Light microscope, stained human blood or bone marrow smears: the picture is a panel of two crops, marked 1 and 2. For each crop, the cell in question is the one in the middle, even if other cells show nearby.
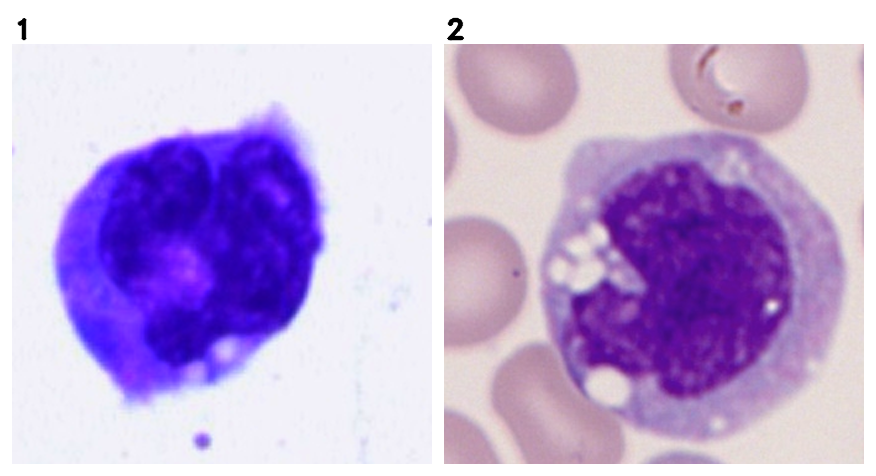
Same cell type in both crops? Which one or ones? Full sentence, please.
Yes, both crops show monocytes in the middle.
